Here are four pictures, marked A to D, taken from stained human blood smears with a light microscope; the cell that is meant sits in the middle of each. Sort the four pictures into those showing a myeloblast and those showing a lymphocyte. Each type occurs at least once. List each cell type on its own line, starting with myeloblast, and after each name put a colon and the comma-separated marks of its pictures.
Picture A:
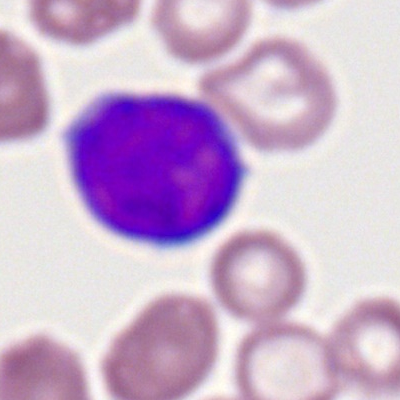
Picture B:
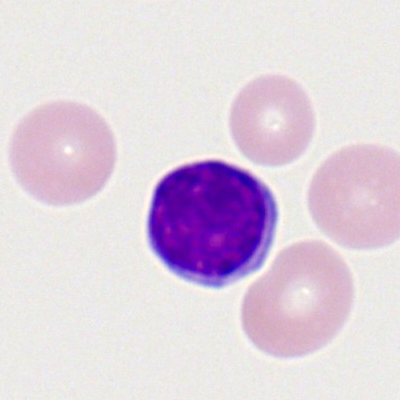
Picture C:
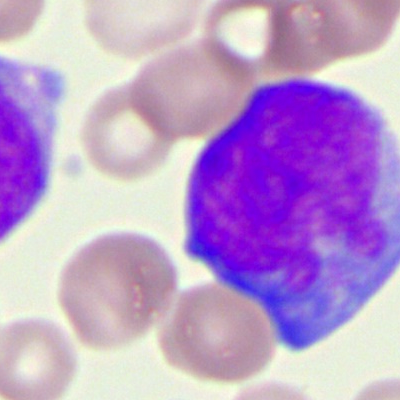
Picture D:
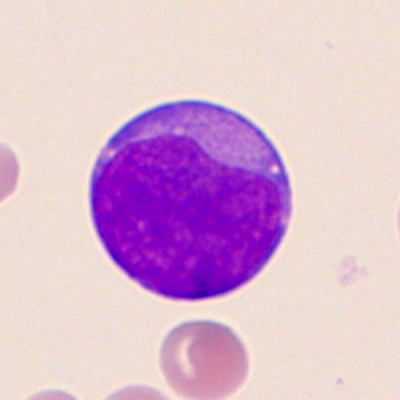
myeloblast: A, C, D
lymphocyte: B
